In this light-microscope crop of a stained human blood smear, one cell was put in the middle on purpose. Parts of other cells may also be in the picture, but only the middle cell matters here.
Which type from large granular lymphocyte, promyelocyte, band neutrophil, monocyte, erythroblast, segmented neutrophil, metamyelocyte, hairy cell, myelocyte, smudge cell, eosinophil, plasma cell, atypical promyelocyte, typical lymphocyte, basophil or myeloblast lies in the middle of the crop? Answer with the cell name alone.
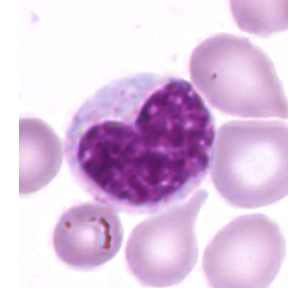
metamyelocyte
